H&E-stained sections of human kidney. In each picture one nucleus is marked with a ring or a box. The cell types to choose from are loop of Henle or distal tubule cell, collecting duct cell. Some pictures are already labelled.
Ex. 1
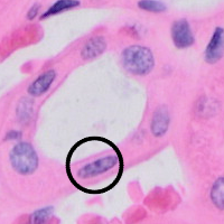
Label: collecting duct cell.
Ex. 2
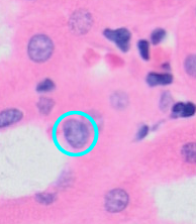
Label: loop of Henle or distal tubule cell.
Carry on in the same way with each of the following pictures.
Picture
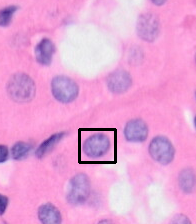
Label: loop of Henle or distal tubule cell.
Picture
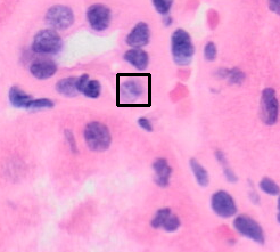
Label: collecting duct cell.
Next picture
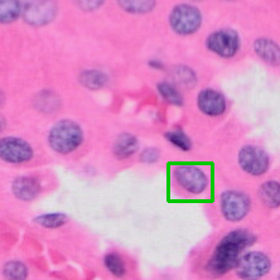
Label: loop of Henle or distal tubule cell.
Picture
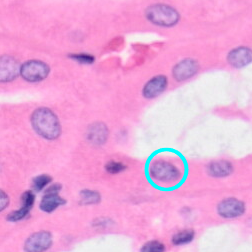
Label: loop of Henle or distal tubule cell.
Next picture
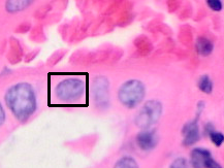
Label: collecting duct cell.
